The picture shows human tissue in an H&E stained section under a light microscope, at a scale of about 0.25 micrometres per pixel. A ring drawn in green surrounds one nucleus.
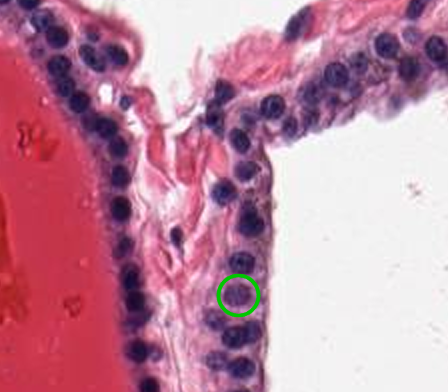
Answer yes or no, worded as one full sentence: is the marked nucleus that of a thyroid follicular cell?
Yes, the marked nucleus is recognised as belonging to a thyroid follicular cell.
